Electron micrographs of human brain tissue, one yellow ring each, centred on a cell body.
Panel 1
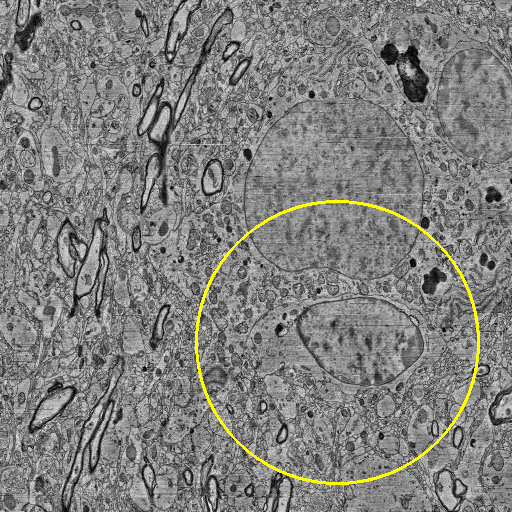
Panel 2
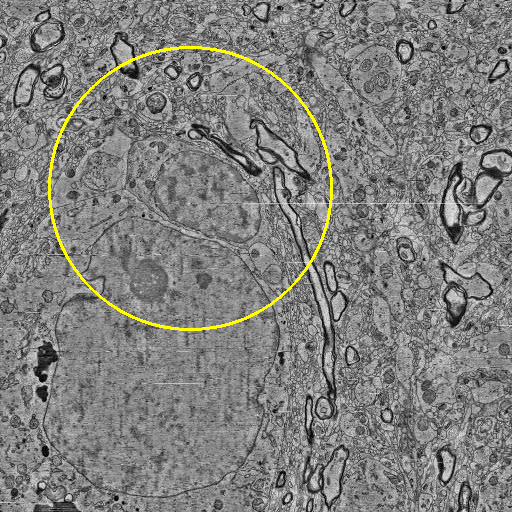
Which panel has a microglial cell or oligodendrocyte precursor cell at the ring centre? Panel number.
1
